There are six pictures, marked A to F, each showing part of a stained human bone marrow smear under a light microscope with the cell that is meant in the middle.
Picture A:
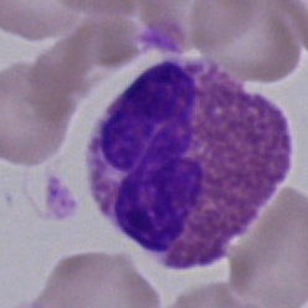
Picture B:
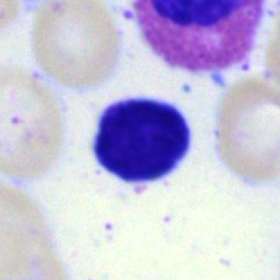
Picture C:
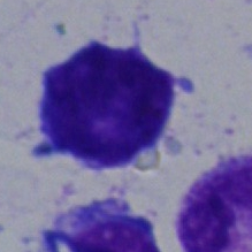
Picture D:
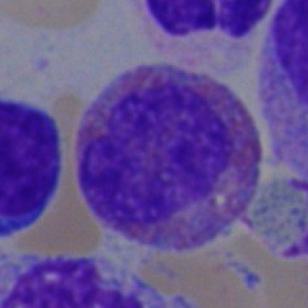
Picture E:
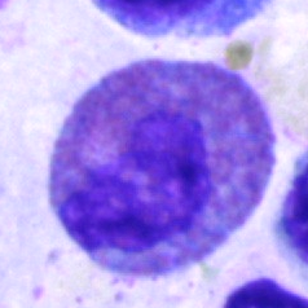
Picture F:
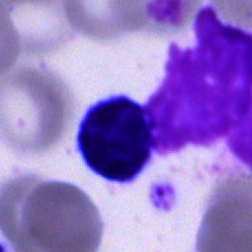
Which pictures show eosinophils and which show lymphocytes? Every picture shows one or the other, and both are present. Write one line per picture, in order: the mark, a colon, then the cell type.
A: eosinophil
B: lymphocyte
C: lymphocyte
D: eosinophil
E: eosinophil
F: lymphocyte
